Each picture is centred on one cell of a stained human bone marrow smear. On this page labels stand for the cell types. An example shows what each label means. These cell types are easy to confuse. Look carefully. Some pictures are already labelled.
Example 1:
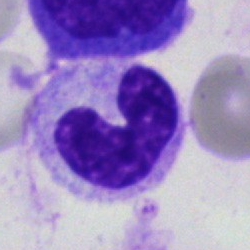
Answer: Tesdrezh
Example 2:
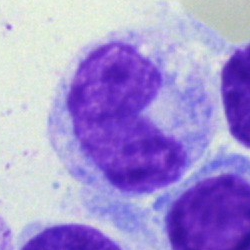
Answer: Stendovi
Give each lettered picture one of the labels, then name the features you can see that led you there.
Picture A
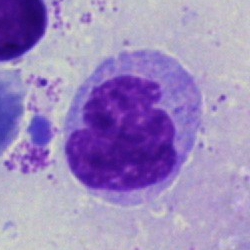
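Stendovi. Evidence: The nucleus fills most of the cell and sits toward the lower left.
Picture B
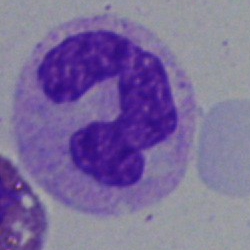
Tesdrezh. Evidence: The cytoplasm is abundant and pale pinkish-lilac.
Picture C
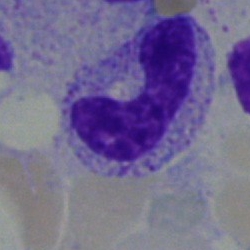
Tesdrezh. Evidence: Fine purple granules are scattered throughout the cytoplasm.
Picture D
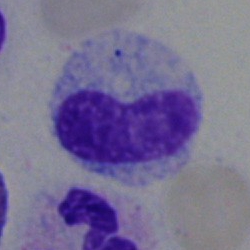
Tesdrezh. Evidence: The cytoplasm is abundant and pale greyish-blue.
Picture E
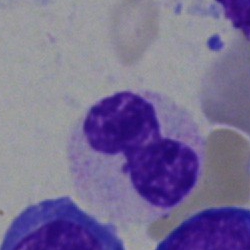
Tesdrezh. Evidence: The cytoplasm is plentiful and pale greyish-lilac.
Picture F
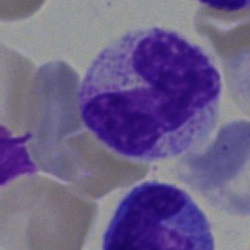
Tesdrezh. Evidence: Fine purple granules are scattered through the cytoplasm.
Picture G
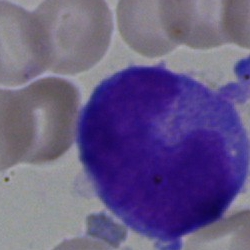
Stendovi. Evidence: The nucleus fills most of the cell, leaving little visible cytoplasm.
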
